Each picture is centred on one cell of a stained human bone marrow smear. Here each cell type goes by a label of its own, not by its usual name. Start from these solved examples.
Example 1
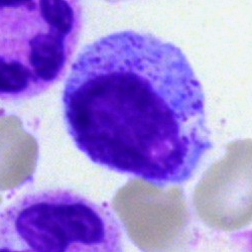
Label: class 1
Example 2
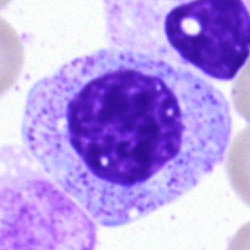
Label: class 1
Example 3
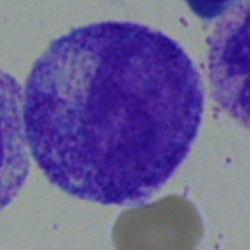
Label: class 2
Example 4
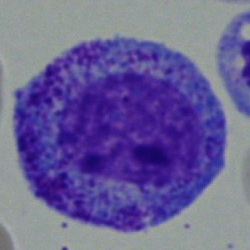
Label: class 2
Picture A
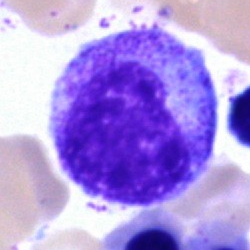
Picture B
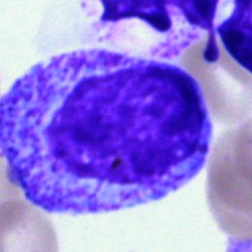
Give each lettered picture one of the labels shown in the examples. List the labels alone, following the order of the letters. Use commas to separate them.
class 2, class 1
